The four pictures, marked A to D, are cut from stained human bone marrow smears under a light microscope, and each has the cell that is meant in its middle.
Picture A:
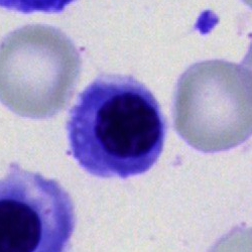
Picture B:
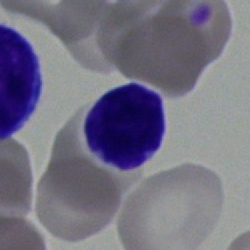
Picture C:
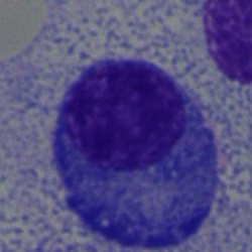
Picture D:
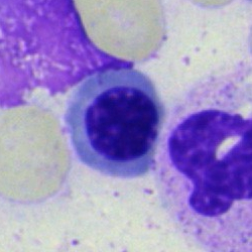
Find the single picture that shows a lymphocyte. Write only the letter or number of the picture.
B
